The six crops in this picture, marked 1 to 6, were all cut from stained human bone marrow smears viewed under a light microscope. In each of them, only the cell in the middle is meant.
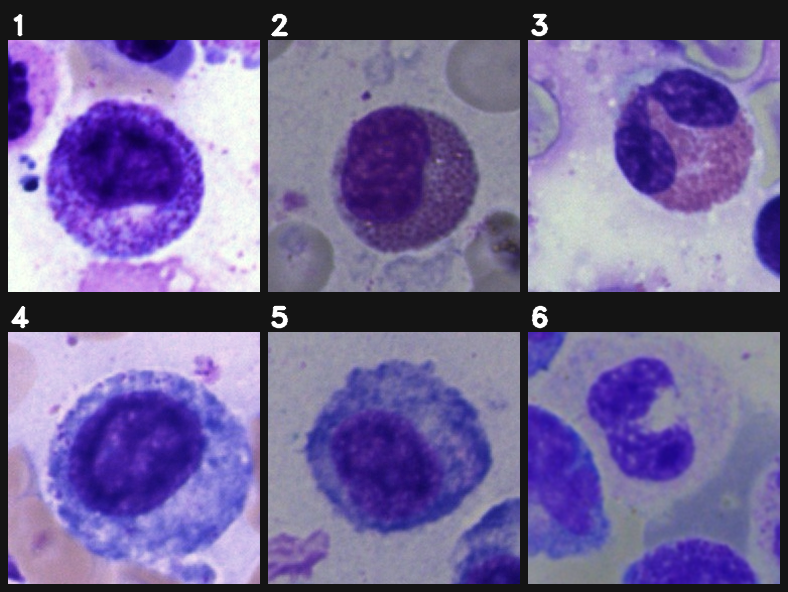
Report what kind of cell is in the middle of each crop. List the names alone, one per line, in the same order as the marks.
promyelocyte
eosinophil
eosinophil
promyelocyte
promyelocyte
segmented neutrophil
